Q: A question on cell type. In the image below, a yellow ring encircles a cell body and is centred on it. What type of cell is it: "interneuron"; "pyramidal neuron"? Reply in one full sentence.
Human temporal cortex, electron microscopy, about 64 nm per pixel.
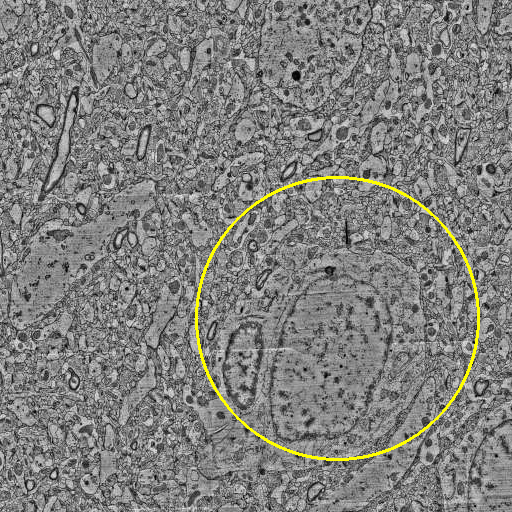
It is an interneuron whose cell body sits at the centre of the yellow ring in the image.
